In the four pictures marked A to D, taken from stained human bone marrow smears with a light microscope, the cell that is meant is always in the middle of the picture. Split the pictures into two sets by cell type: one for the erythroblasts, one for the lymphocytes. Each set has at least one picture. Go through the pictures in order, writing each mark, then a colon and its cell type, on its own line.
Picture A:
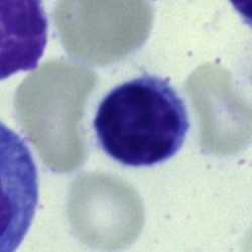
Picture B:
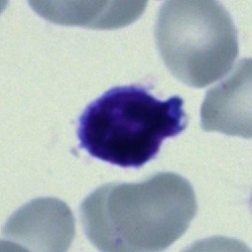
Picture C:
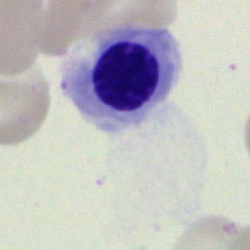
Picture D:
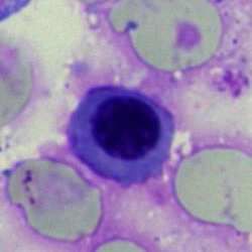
A: lymphocyte
B: lymphocyte
C: erythroblast
D: erythroblast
